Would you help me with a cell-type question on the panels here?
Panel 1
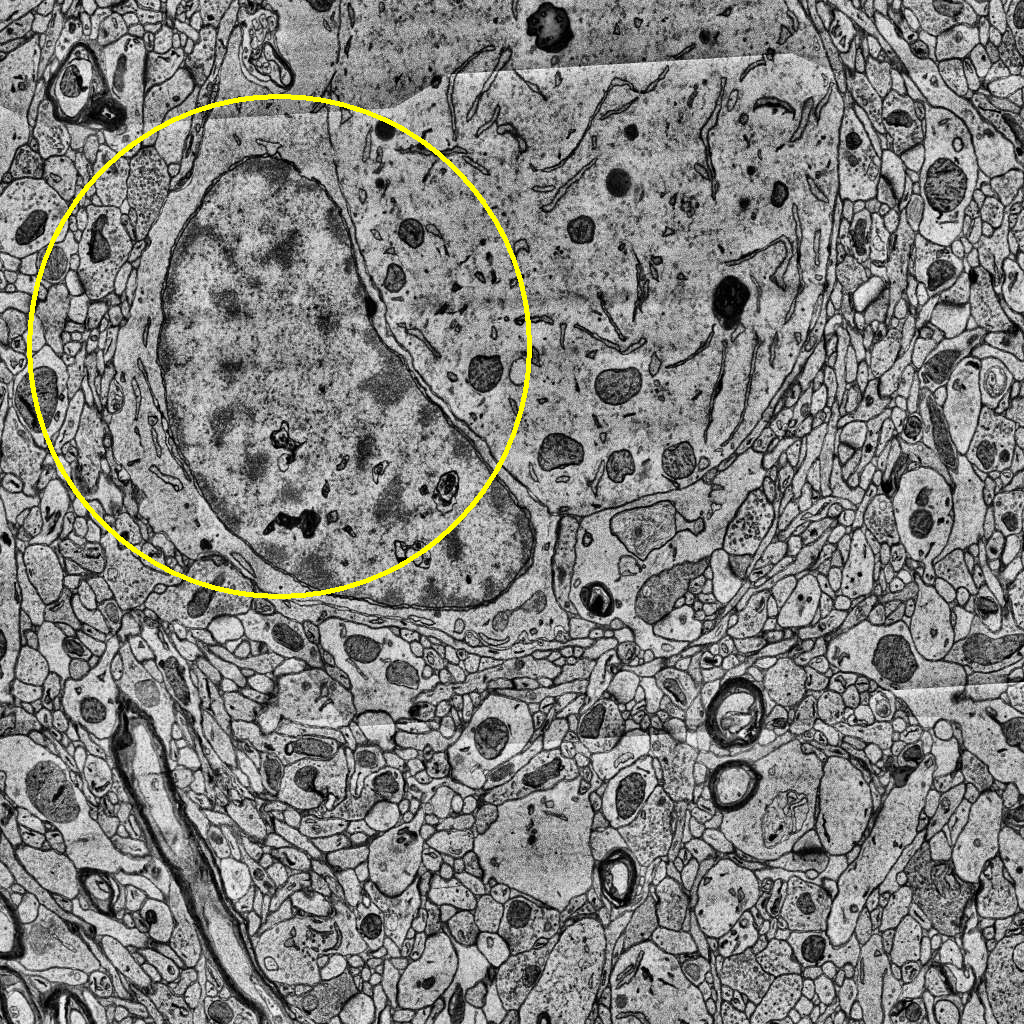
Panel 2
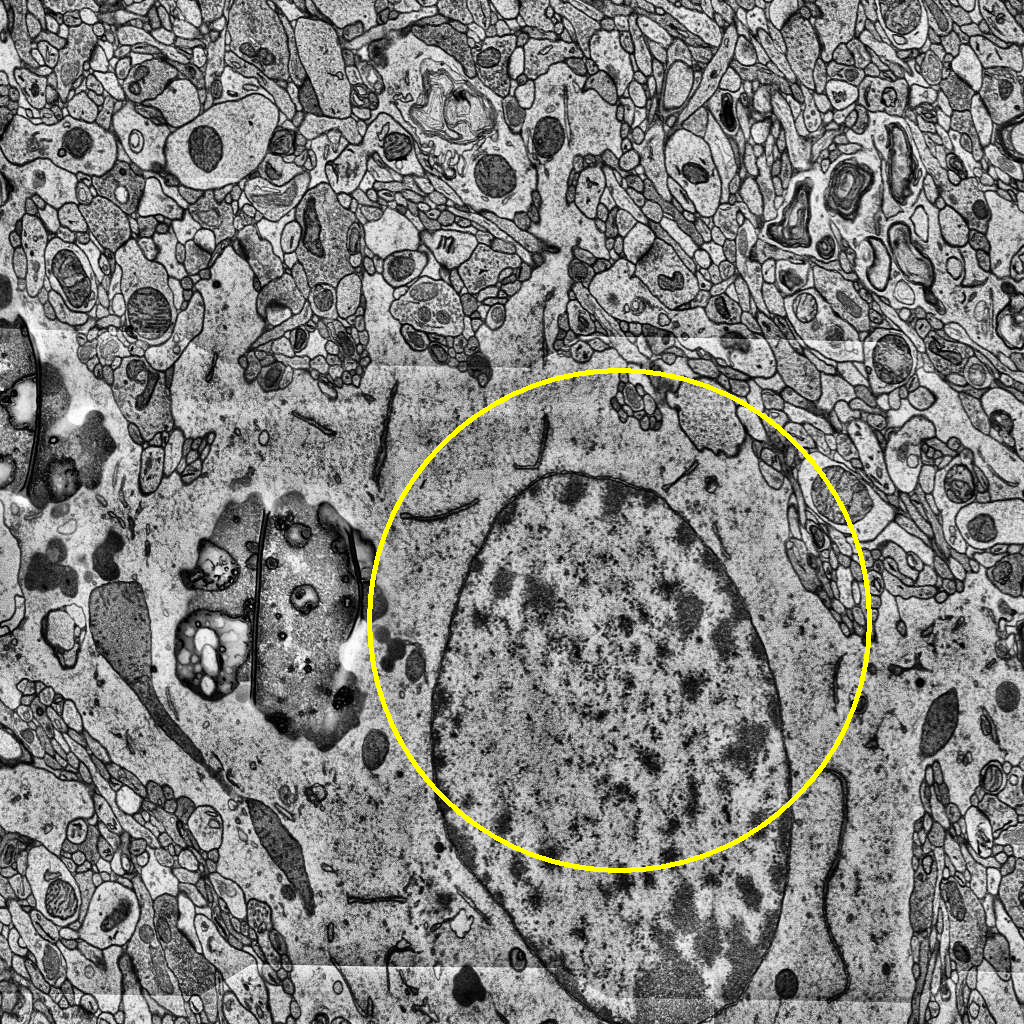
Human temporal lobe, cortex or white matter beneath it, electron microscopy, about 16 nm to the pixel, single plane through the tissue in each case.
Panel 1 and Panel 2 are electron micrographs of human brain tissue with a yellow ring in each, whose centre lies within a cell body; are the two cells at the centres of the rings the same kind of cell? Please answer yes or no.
no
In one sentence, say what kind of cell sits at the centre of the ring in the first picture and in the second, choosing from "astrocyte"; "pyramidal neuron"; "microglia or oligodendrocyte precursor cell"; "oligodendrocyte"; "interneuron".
In the first picture it is a microglial cell or oligodendrocyte precursor cell; in the second it is an astrocyte.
